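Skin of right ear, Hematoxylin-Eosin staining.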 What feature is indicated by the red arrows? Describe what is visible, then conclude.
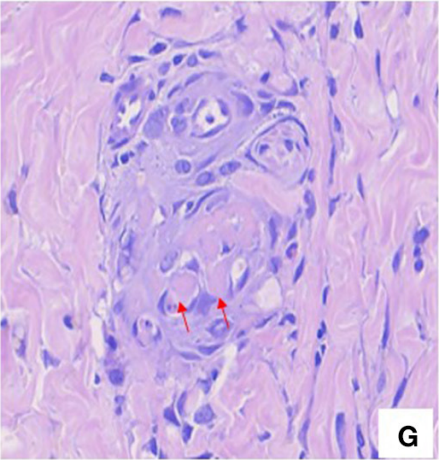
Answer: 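The arrows point into small vessel profiles within pink collagen. The vessel lumina are occluded by pink material rather than being open. On this evidence: microthrombi.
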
